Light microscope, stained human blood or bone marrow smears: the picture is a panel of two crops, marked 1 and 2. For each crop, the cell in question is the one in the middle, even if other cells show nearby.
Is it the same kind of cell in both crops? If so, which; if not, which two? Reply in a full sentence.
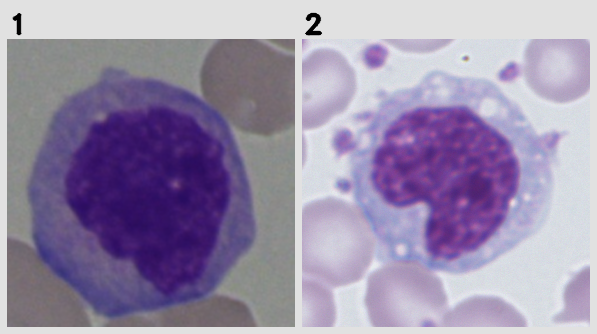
Yes, in the two crops, monocytes are the cells at the centre.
